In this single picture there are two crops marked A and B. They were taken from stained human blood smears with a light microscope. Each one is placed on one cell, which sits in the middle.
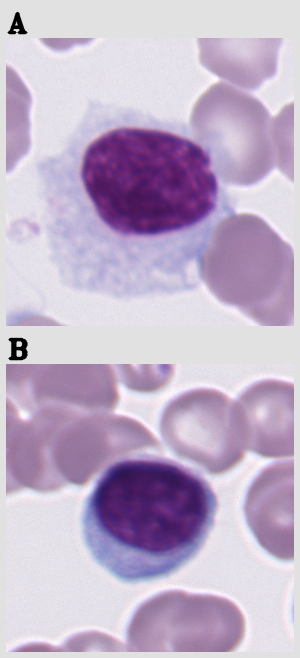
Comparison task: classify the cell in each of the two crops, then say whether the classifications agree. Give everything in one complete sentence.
No, the correct reading is a hairy cell in crop A and a typical lymphocyte in crop B.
